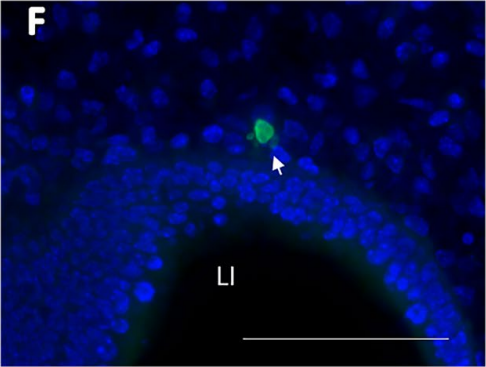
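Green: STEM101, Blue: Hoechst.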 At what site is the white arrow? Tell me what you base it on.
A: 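A layer of densely packed nuclei lines the lumen. The arrowed green cell lies just outside that epithelial layer, on the side away from the lumen. Loosely spaced nuclei of surrounding tissue lie beyond it. On this evidence: subepithelium.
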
